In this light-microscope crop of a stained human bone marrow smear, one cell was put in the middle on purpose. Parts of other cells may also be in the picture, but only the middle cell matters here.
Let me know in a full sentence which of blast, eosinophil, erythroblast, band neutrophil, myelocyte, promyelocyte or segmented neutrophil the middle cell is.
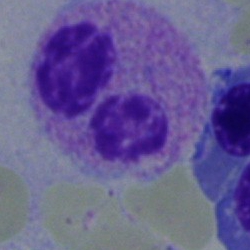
Whatever else lies nearby, the middle cell is a segmented neutrophil.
